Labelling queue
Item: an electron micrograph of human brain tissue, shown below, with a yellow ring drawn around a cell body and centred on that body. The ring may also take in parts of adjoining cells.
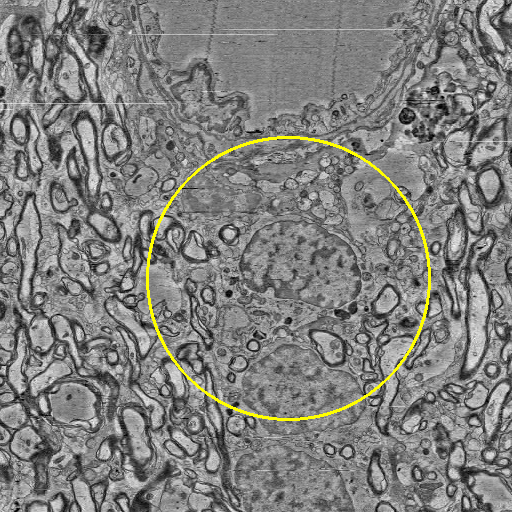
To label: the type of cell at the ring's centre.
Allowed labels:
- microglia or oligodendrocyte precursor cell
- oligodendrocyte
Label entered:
microglia or oligodendrocyte precursor cell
